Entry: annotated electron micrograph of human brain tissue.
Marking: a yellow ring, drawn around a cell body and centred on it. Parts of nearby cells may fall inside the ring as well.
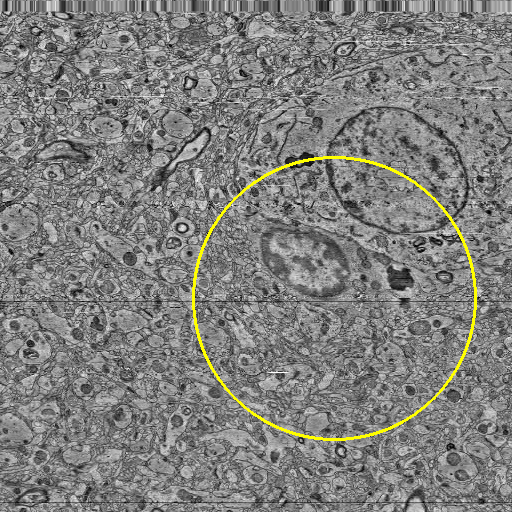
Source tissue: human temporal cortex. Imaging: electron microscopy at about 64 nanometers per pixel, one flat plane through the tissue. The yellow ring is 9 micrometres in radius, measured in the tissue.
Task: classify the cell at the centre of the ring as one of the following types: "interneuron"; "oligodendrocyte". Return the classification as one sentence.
The marked cell is classified as an oligodendrocyte.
